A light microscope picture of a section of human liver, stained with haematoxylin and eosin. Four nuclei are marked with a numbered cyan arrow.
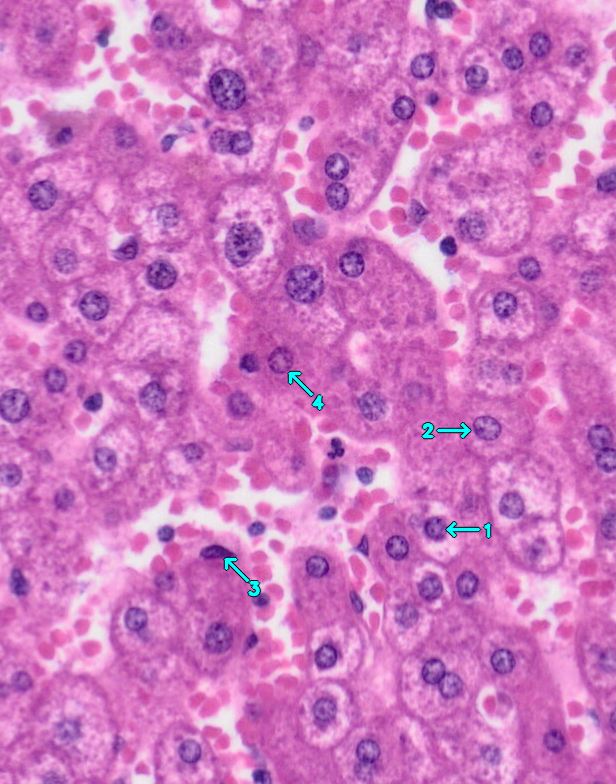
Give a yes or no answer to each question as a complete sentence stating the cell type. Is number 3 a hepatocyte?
No, cell 3 is classified as a fibroblast or stellate cell rather than a hepatocyte.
